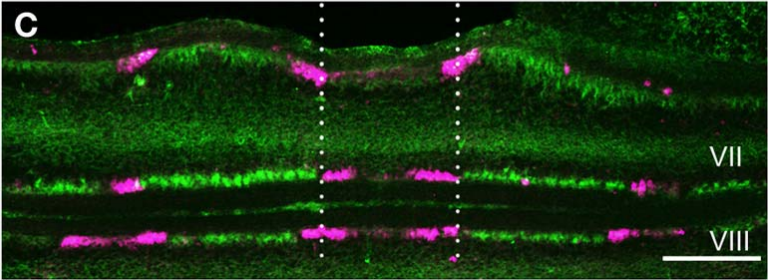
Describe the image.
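A broad section through several folded cortical lobules shows thin bands running along each fold, labelled alternately green and magenta. The magenta patches occupy stretches of the band where green labelling is absent or weak, so the two colours form alternating zones side by side. Green labelling also fills the tissue more diffusely between the bands.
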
